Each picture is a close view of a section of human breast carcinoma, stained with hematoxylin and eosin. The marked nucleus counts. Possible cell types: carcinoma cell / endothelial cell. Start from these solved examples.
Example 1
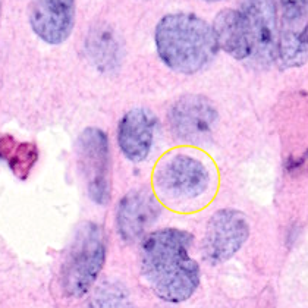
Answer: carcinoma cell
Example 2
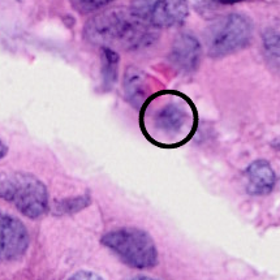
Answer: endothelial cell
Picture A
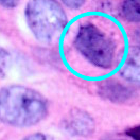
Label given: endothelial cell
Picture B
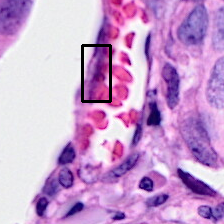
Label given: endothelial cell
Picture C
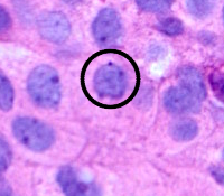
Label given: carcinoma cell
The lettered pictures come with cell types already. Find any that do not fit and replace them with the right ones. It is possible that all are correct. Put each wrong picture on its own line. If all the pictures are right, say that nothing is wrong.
A should be carcinoma cell, not endothelial cell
